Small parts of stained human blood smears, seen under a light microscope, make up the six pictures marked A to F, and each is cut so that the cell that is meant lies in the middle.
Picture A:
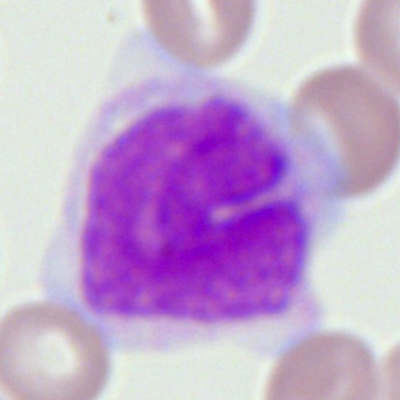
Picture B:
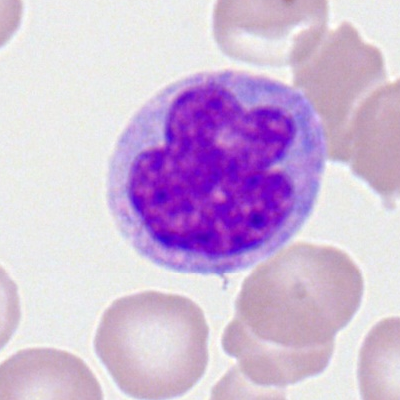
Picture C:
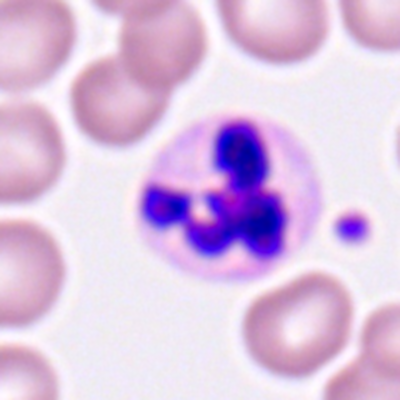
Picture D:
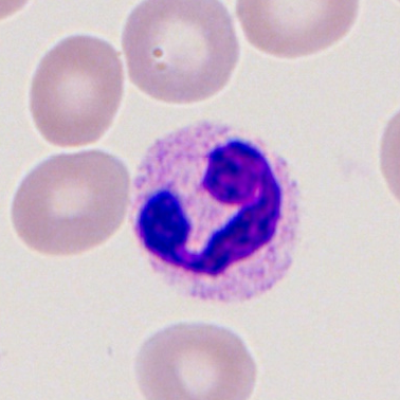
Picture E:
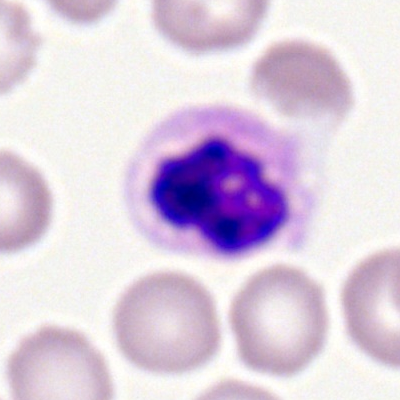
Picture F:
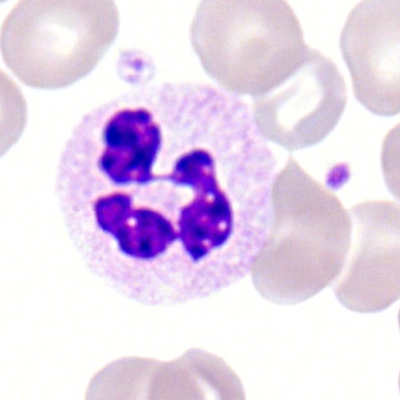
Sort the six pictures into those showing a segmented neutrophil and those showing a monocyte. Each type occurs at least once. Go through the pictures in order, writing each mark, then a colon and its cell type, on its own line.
A: monocyte
B: monocyte
C: segmented neutrophil
D: segmented neutrophil
E: segmented neutrophil
F: segmented neutrophil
